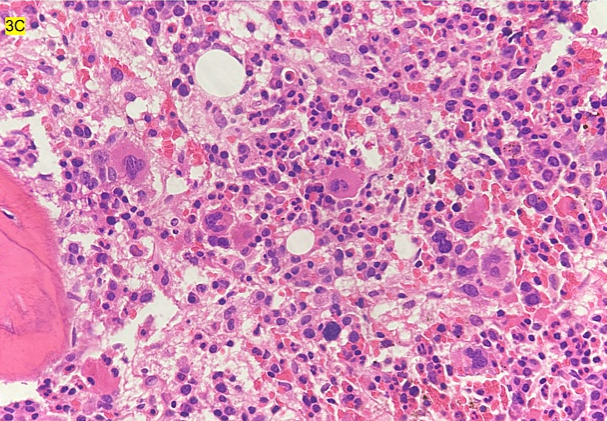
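This is bone marrow packed with blood-forming cells of mixed sizes, most of them small and round with dark purple nuclei. Scattered among them are several very large cells with plentiful pink cytoplasm and big lobulated or clumped nuclei. Red blood cells are strewn between the cells, and a few clear round spaces of fat interrupt the cellular field. At the left edge lies a smooth, homogeneous pink fragment. The background is loose and somewhat frothy in places, and the cells are packed densely rather than arranged in any orderly layers.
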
